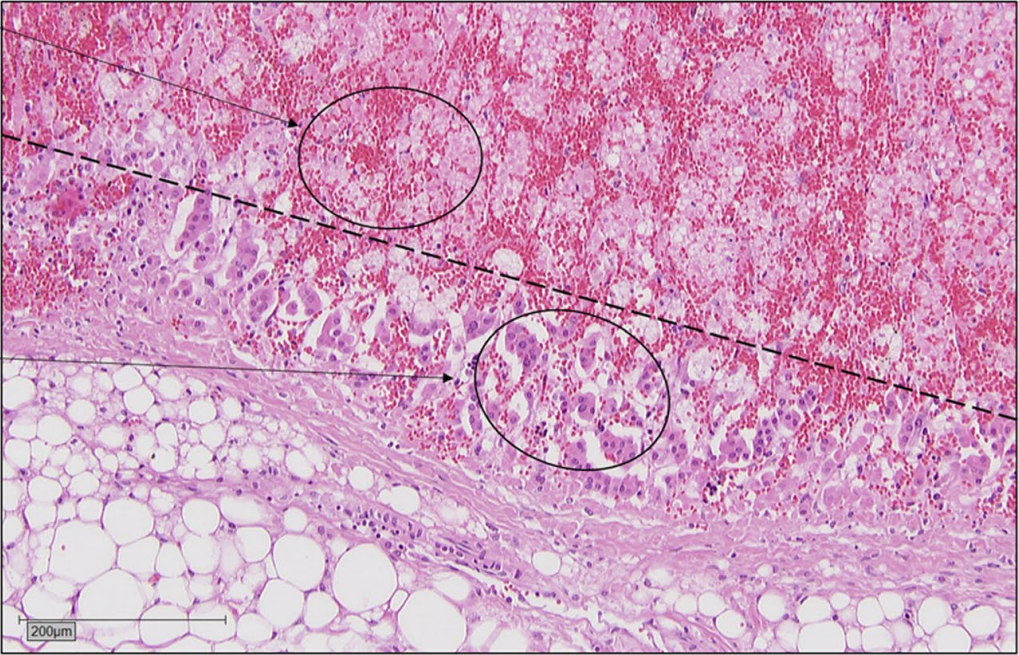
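This section of adrenal gland shows the organ's parenchyma widely flooded with blood, with areas of dead tissue. At the lower left lies fat of large empty-looking adipocytes, separated from the gland by a thin pink band of fibrous tissue. Just beneath this band the parenchymal cells still form cords with round to oval purple nuclei and pink cytoplasm with clear borders, while red blood cells fill the spaces between the cords. Higher up the cells become pale, most without visible nuclei and with blurred outlines, lying among dense sheets of bright red erythrocytes.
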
